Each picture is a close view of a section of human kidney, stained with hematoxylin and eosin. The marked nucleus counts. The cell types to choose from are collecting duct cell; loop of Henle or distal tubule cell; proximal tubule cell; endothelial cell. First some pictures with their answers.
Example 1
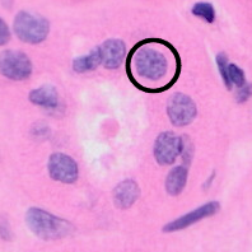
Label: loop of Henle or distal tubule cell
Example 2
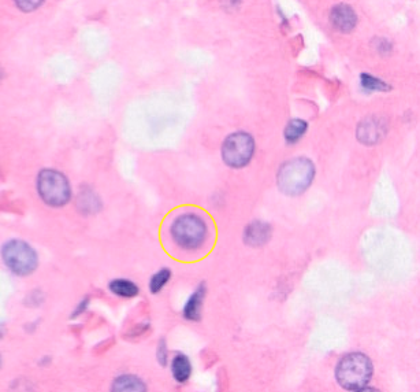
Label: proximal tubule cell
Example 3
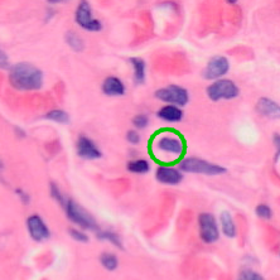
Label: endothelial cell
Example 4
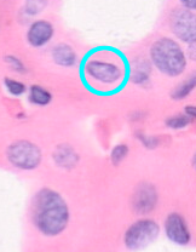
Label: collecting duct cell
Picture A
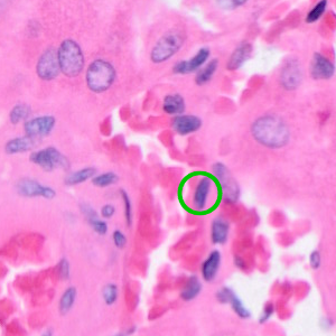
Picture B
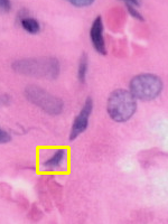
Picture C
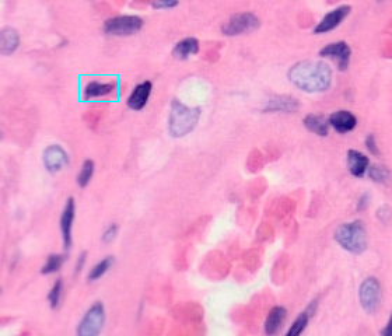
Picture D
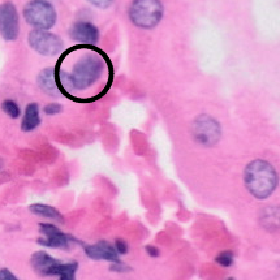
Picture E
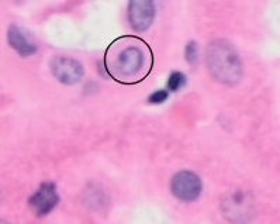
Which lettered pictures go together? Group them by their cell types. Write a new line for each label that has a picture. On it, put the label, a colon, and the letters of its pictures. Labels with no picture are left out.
collecting duct cell: D, E
endothelial cell: A, B, C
